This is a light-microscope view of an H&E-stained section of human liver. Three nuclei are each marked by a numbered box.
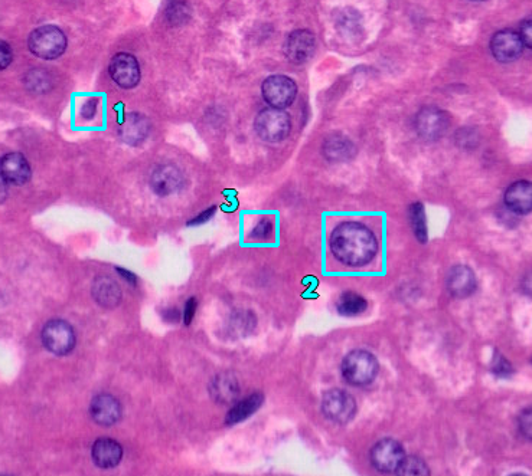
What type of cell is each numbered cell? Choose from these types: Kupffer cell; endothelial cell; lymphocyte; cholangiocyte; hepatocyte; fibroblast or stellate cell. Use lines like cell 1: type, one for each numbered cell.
cell 1: Kupffer cell
cell 2: hepatocyte
cell 3: fibroblast or stellate cell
